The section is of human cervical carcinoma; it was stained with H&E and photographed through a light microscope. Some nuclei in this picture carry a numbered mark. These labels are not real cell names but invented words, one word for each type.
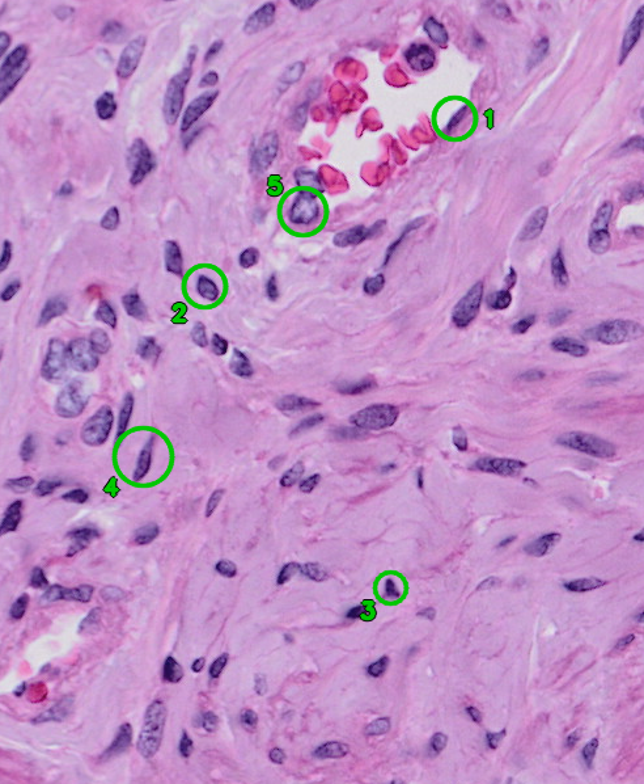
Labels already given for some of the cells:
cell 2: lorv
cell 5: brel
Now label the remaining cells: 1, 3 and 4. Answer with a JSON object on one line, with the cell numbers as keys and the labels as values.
{"1": "brel", "3": "lorv", "4": "lorv"}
